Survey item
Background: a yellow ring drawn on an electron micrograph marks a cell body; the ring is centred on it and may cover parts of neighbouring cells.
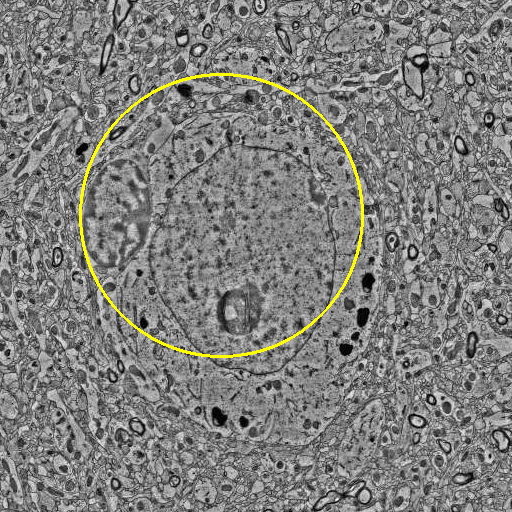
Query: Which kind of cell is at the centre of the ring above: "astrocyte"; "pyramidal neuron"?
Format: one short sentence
The cell in the middle of the ring is a pyramidal neuron.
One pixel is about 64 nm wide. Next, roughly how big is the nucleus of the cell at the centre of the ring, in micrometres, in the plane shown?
Roughly 15 micrometres by 12 micrometres, in this plane.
